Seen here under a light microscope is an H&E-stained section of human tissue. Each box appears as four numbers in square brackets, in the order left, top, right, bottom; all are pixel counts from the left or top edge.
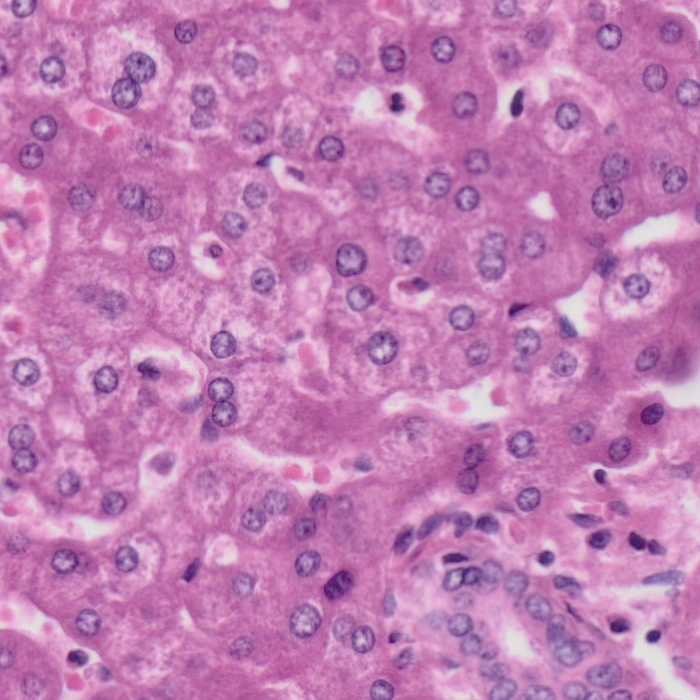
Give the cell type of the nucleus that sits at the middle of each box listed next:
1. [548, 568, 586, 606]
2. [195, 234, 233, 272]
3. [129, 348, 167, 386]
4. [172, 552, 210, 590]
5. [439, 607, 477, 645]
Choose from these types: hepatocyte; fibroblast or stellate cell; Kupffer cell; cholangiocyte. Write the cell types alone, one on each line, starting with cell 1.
fibroblast or stellate cell
Kupffer cell
Kupffer cell
fibroblast or stellate cell
cholangiocyte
